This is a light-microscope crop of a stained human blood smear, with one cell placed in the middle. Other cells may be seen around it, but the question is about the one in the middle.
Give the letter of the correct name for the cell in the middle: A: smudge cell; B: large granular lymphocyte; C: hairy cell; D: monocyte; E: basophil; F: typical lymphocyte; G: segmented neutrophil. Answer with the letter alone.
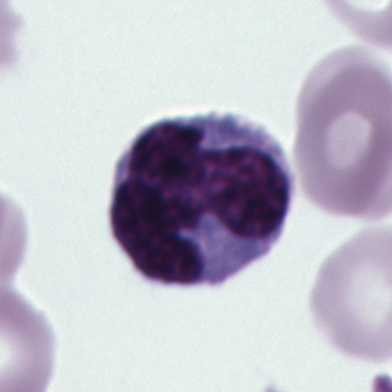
D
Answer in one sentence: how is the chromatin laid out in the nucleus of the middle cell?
What stands out is chromatin that is coarsely clumped.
